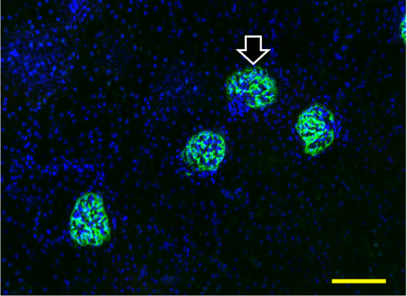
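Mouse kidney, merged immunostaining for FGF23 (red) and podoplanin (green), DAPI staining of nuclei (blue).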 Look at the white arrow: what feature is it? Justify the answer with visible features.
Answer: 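The arrow points at a round green-outlined tuft with many nuclei.
Glomeruli.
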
